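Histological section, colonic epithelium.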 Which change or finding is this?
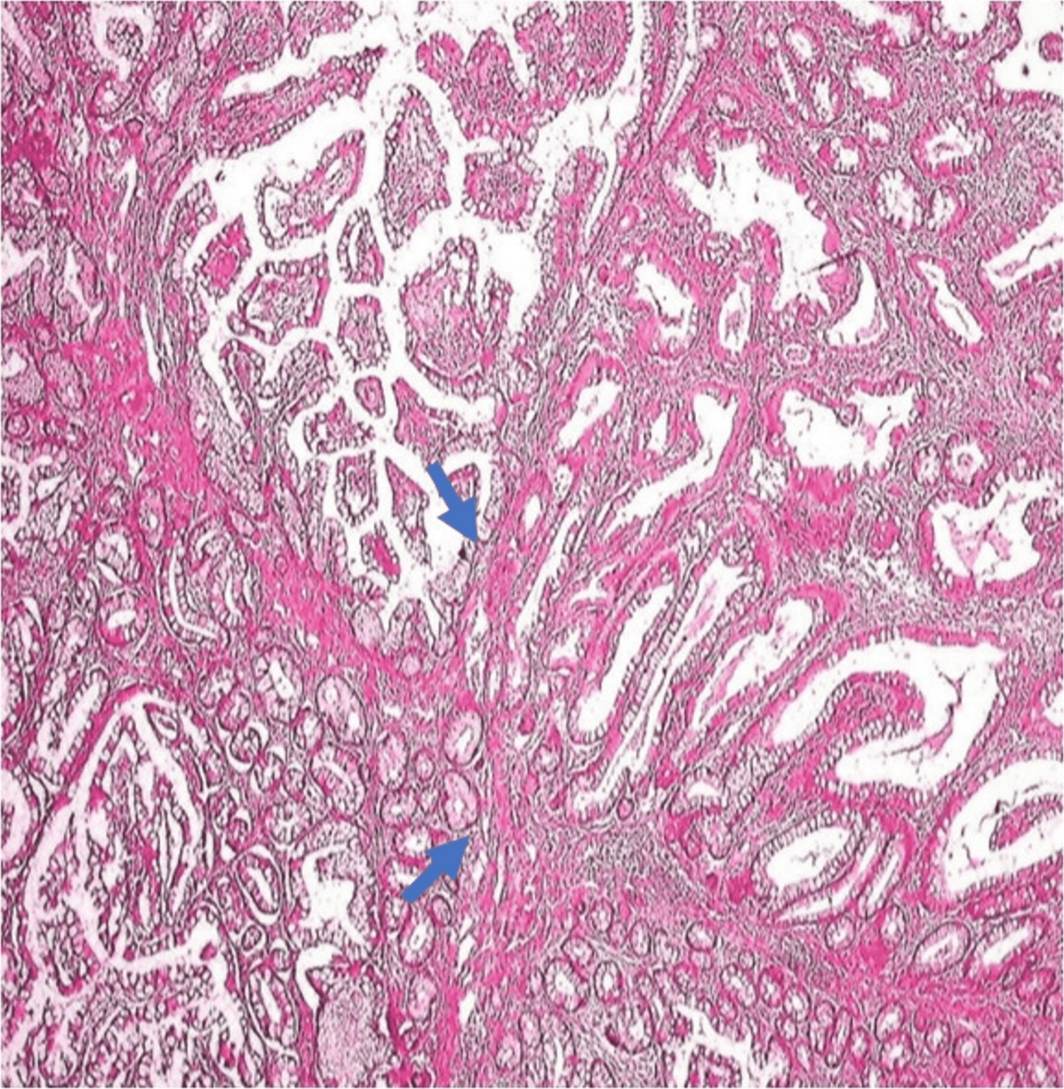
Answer: Peutz-Jeghers polyp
